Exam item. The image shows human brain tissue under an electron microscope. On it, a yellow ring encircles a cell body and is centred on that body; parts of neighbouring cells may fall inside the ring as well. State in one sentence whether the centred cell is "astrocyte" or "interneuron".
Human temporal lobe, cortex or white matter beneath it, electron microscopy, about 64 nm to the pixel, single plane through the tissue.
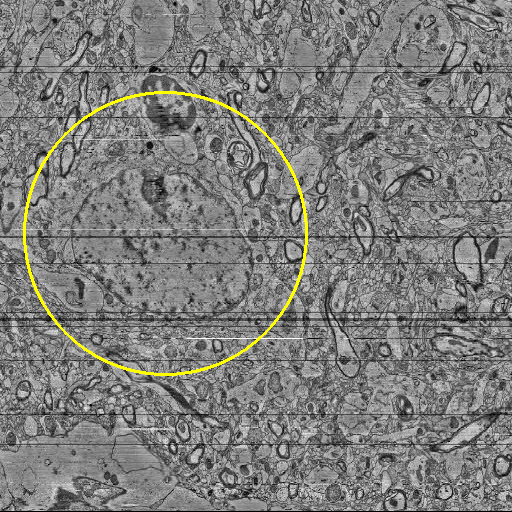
The cell body centred in the ring is an interneuron.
